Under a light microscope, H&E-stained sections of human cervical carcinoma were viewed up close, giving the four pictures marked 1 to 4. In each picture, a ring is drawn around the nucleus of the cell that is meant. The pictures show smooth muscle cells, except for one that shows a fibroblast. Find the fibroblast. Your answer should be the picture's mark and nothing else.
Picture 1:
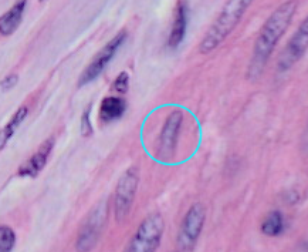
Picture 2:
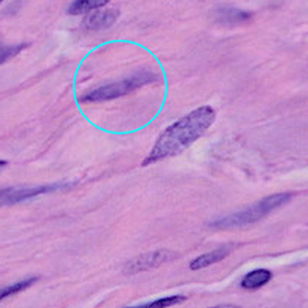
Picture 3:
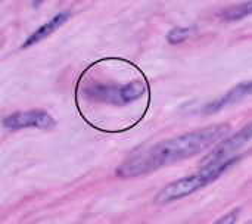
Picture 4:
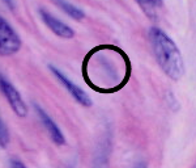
2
